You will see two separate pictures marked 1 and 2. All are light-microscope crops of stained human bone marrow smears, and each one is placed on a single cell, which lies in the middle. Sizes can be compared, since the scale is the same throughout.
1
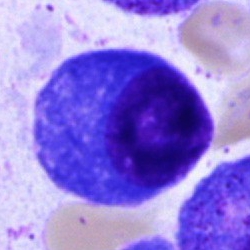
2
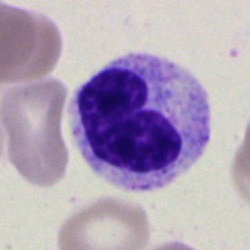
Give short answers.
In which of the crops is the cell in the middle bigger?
1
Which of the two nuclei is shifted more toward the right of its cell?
1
